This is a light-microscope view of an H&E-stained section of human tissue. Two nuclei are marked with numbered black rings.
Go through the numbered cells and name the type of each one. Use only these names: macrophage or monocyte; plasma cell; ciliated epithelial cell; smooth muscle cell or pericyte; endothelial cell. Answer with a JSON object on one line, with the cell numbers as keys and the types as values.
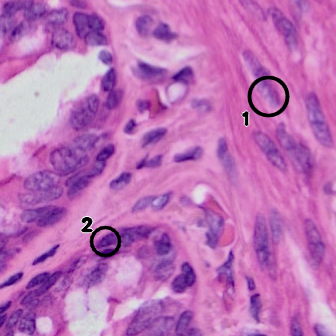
{"1": "smooth muscle cell or pericyte", "2": "ciliated epithelial cell"}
